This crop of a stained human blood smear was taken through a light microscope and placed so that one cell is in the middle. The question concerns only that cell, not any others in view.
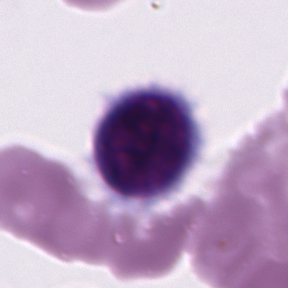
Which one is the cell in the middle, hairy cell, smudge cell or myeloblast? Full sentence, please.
The cell nearest the centre of this crop is a hairy cell.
